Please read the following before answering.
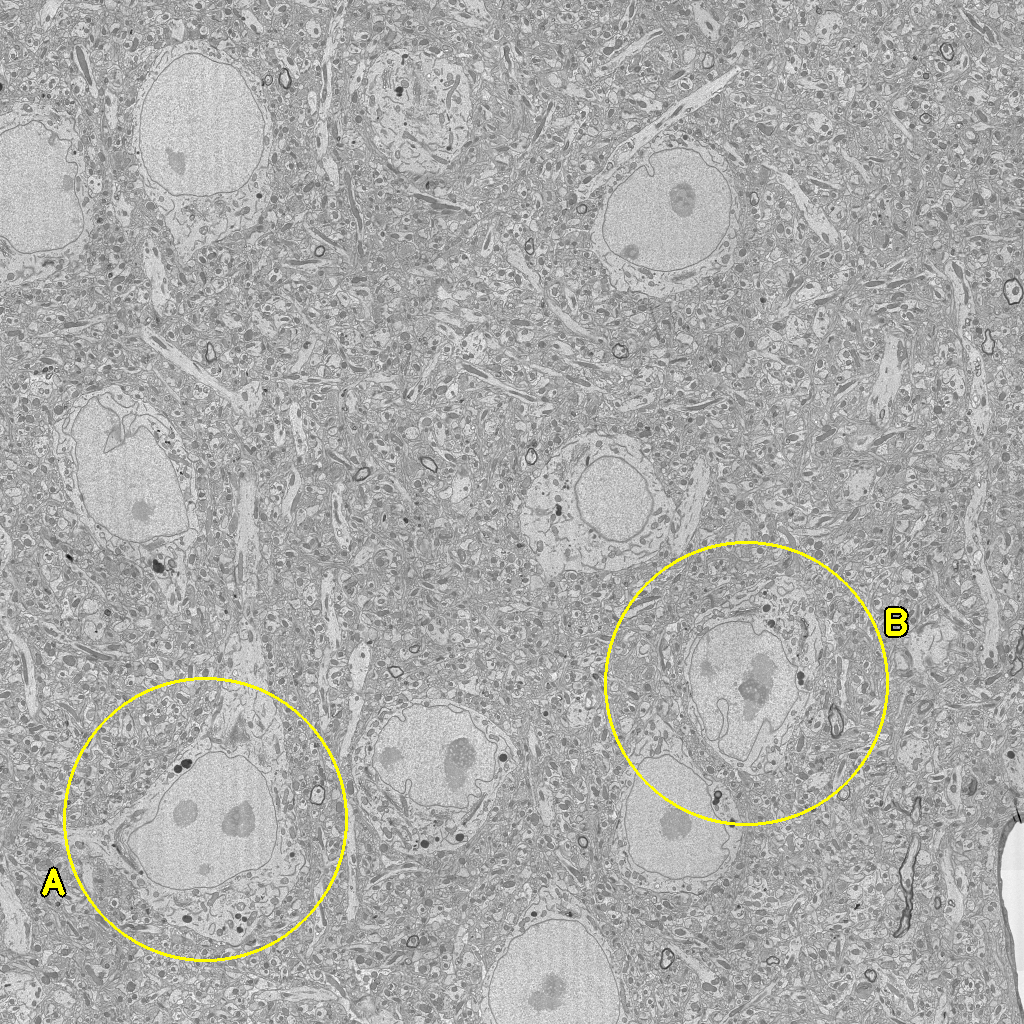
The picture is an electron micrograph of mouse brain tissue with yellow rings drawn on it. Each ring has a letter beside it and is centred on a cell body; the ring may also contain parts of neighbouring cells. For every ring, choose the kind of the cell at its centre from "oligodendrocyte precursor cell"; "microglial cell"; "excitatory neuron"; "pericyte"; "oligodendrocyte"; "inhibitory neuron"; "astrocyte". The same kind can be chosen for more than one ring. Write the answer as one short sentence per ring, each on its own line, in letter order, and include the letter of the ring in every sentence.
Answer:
The kind of cell at the centre of ring A is an excitatory neuron.
The kind of cell at the centre of ring B is an inhibitory neuron.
